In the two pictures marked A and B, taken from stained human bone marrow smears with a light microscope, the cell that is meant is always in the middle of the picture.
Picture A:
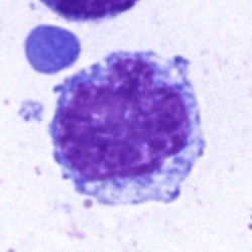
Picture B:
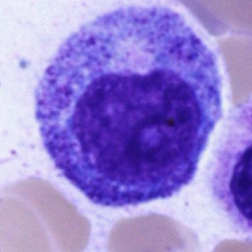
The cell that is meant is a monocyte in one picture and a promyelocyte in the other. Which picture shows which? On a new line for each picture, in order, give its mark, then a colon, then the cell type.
A: monocyte
B: promyelocyte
